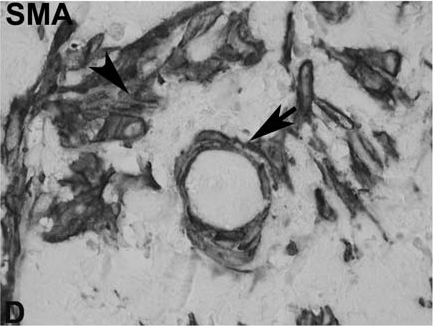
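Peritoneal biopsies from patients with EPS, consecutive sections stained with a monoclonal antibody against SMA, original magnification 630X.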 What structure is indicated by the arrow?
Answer: Arteries.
